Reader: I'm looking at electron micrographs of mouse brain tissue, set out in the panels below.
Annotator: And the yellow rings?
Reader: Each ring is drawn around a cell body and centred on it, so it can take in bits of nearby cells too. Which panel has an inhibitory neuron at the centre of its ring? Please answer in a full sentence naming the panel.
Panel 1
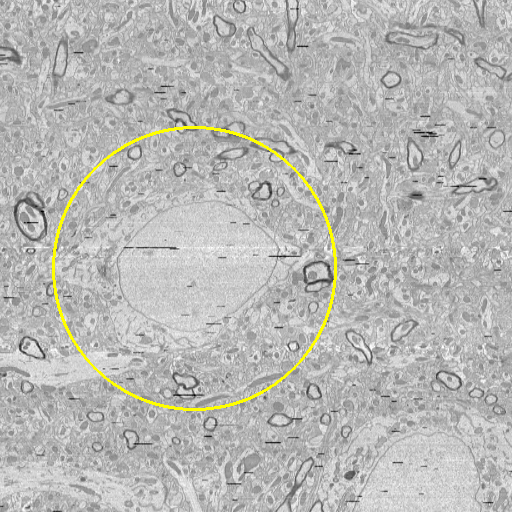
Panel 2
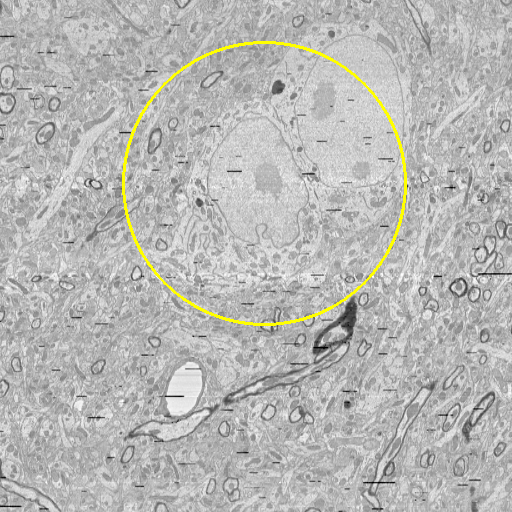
Panel 2 has it at the centre of its ring.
